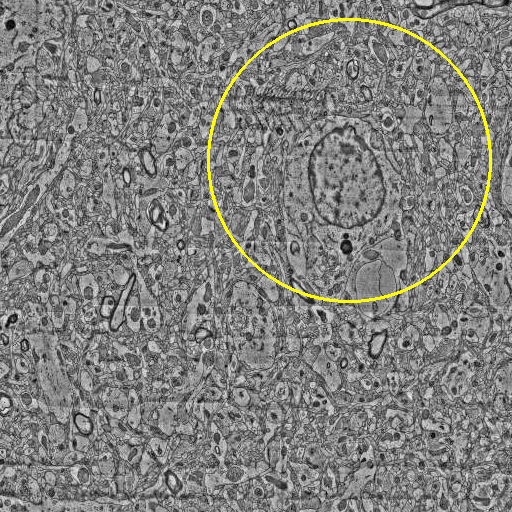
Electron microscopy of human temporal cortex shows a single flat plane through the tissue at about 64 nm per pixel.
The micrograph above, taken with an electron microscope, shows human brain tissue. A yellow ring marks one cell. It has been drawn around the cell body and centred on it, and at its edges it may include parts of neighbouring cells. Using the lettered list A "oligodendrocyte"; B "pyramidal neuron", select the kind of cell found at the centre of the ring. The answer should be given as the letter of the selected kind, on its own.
B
